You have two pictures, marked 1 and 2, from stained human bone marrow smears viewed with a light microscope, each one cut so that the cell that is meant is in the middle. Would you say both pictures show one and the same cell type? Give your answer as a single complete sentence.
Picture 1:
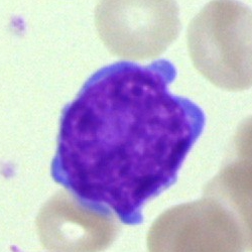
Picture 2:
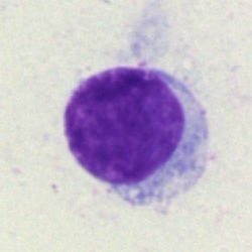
No, picture 1 shows a blast and picture 2 shows a hairy cell.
